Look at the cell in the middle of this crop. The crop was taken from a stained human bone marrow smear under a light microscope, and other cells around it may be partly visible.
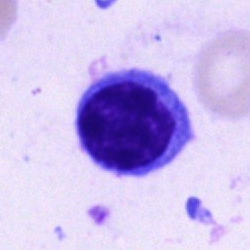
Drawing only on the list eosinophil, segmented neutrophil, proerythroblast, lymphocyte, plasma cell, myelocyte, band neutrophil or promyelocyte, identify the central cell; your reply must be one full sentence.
Whatever else lies nearby, the middle cell is a lymphocyte.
